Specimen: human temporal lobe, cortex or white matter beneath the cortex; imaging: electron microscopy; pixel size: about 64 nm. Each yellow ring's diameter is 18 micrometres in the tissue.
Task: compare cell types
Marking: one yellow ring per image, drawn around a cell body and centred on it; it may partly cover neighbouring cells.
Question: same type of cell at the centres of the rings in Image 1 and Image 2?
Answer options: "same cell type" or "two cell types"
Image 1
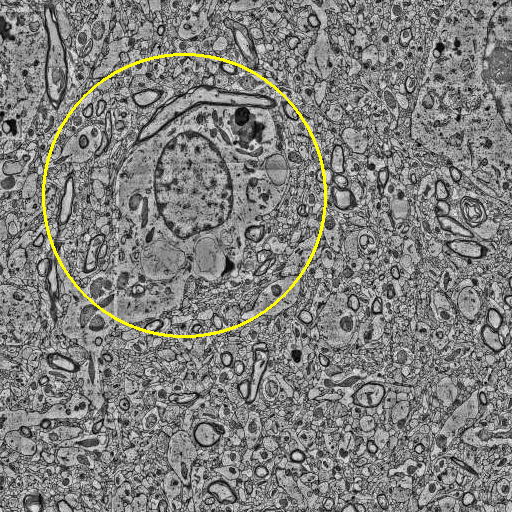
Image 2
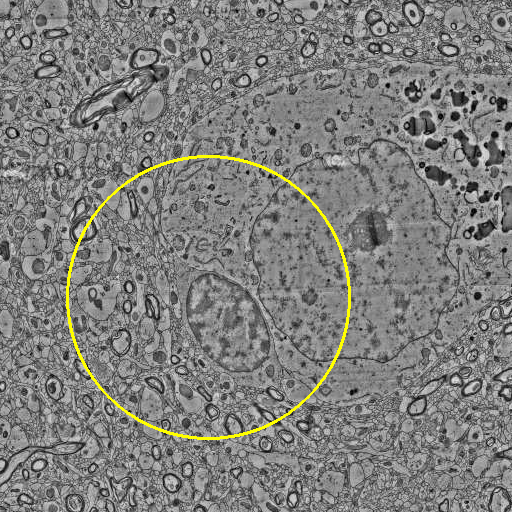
two cell types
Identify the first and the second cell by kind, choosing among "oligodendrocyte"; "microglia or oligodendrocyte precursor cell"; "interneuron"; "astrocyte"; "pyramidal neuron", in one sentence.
The one in the first picture is an astrocyte, while the one in the second is an oligodendrocyte.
